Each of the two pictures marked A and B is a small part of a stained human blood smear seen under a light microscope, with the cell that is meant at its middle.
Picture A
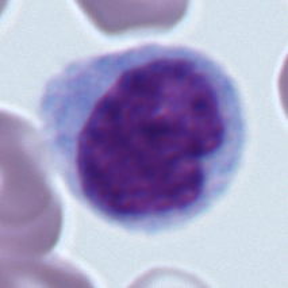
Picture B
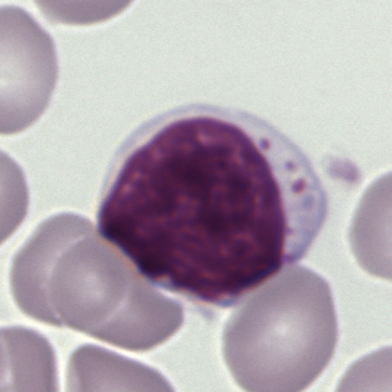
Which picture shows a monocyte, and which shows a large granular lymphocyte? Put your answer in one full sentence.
Picture B shows a large granular lymphocyte, while picture A shows a monocyte.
